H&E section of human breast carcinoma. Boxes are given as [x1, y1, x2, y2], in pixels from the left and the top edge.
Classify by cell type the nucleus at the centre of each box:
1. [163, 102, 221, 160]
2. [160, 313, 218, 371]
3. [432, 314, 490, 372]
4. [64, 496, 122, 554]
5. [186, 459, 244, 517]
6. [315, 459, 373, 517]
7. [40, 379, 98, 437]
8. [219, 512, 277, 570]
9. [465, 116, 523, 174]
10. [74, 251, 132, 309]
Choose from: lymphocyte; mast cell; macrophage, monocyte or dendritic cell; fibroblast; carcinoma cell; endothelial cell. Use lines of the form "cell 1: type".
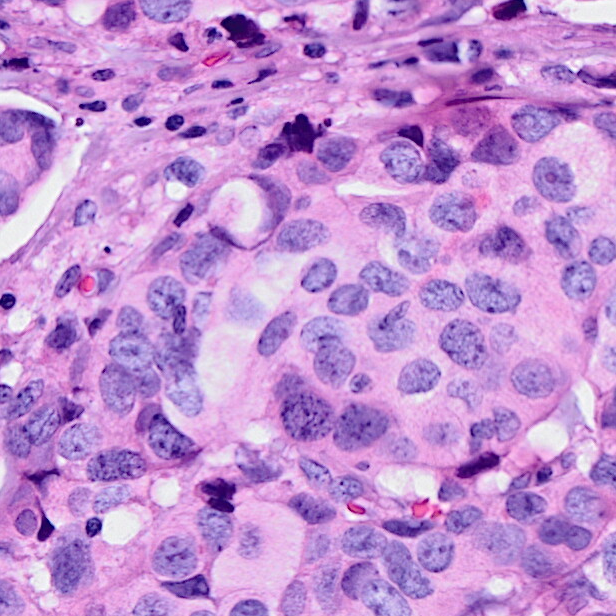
cell 1: lymphocyte
cell 2: carcinoma cell
cell 3: carcinoma cell
cell 4: lymphocyte
cell 5: carcinoma cell
cell 6: endothelial cell
cell 7: carcinoma cell
cell 8: carcinoma cell
cell 9: carcinoma cell
cell 10: endothelial cell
